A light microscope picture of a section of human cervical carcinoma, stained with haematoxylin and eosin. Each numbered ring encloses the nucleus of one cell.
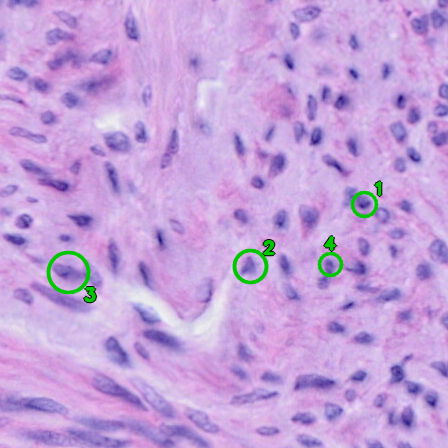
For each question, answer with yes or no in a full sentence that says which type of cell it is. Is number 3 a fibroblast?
No, rather than a fibroblast, cell number 3 is a smooth muscle cell.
